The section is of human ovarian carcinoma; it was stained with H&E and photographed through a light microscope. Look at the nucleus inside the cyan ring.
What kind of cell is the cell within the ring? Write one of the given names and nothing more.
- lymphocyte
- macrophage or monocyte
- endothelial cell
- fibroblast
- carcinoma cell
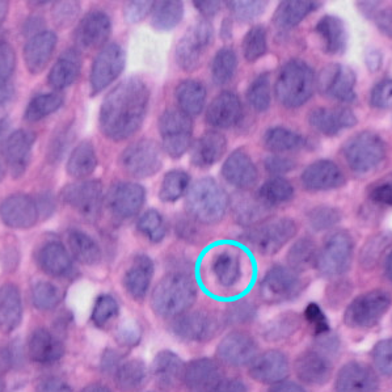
macrophage or monocyte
